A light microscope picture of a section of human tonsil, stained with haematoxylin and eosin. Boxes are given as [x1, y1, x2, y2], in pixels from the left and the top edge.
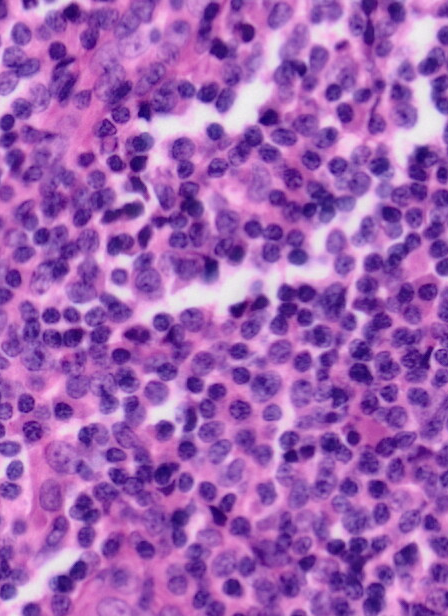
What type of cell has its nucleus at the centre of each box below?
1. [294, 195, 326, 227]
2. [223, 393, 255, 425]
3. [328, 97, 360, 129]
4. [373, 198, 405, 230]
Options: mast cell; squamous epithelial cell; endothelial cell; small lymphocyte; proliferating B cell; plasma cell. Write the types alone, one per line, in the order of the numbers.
small lymphocyte
plasma cell
plasma cell
small lymphocyte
